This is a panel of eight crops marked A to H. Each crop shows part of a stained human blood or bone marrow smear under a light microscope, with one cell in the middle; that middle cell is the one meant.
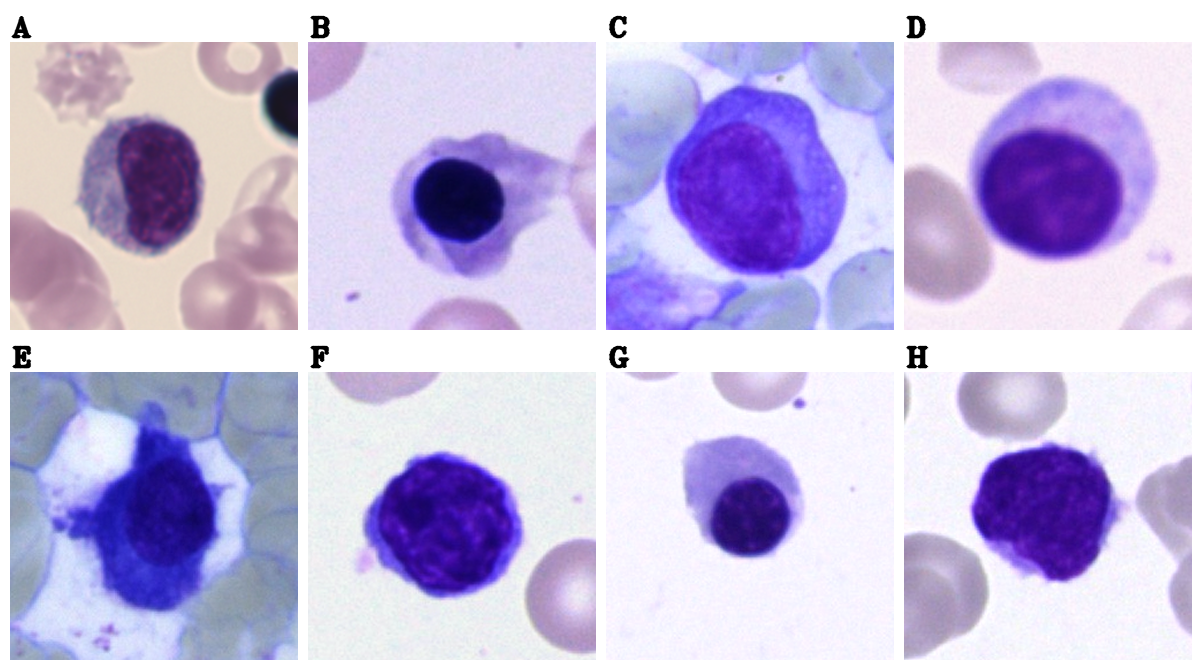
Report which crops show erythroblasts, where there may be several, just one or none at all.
A, B, G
